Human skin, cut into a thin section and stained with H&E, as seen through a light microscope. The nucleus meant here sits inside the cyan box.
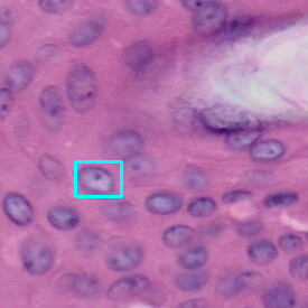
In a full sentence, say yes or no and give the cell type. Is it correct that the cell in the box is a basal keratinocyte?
No, it is as a suprabasal keratinocyte, not a basal keratinocyte, that the cell in the box is classified.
